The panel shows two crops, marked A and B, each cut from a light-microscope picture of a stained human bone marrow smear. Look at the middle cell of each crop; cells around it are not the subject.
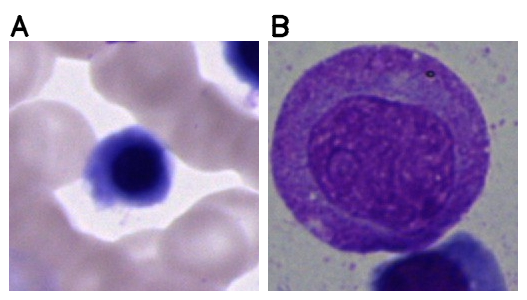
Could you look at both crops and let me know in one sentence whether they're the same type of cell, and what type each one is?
No, a blast is depicted in crop B, whereas an erythroblast is depicted in crop A.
